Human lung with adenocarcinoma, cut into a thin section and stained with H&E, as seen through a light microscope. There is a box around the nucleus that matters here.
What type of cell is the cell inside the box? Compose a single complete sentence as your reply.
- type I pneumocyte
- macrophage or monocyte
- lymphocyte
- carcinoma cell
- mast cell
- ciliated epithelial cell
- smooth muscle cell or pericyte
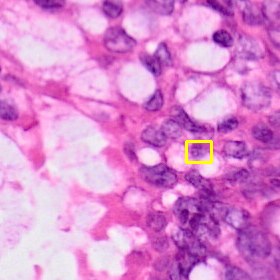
In this tissue section, the cell inside the box is to be classed as a ciliated epithelial cell.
